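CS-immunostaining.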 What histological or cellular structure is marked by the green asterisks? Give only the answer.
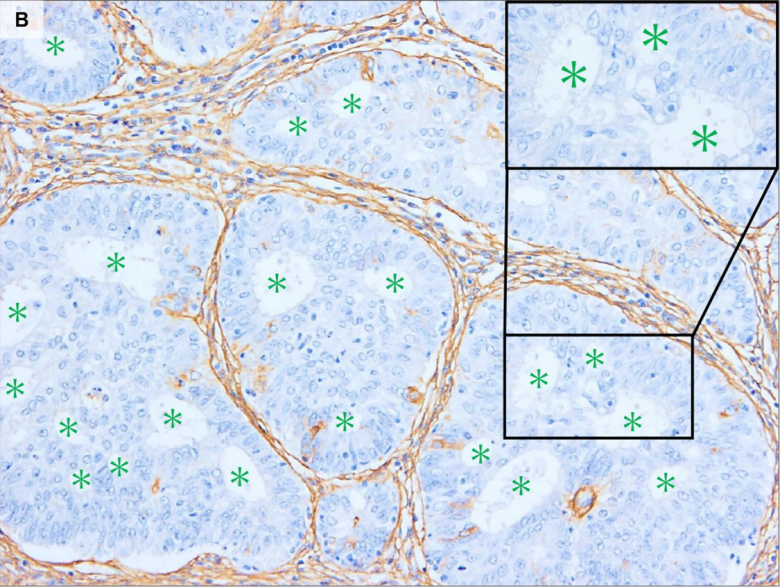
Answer: Glandular lumen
